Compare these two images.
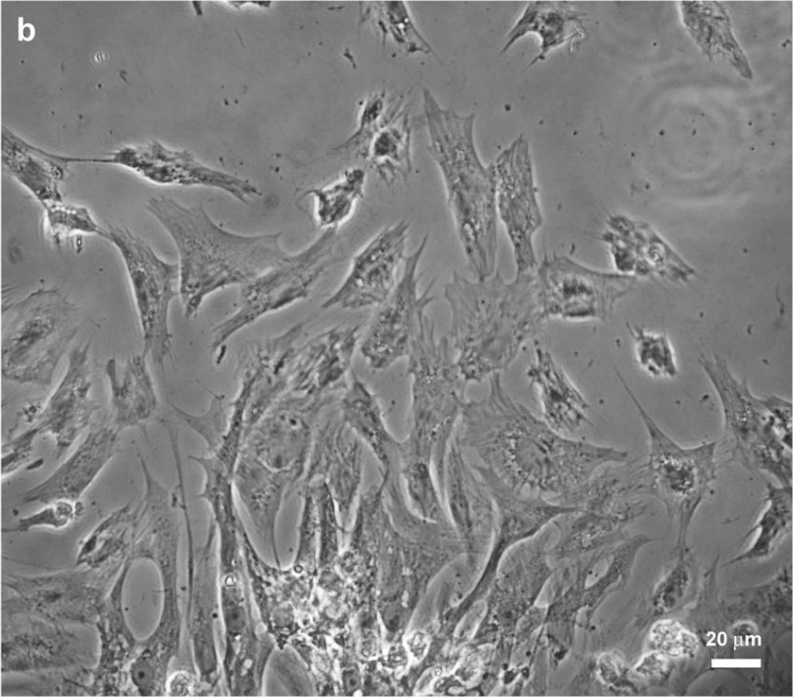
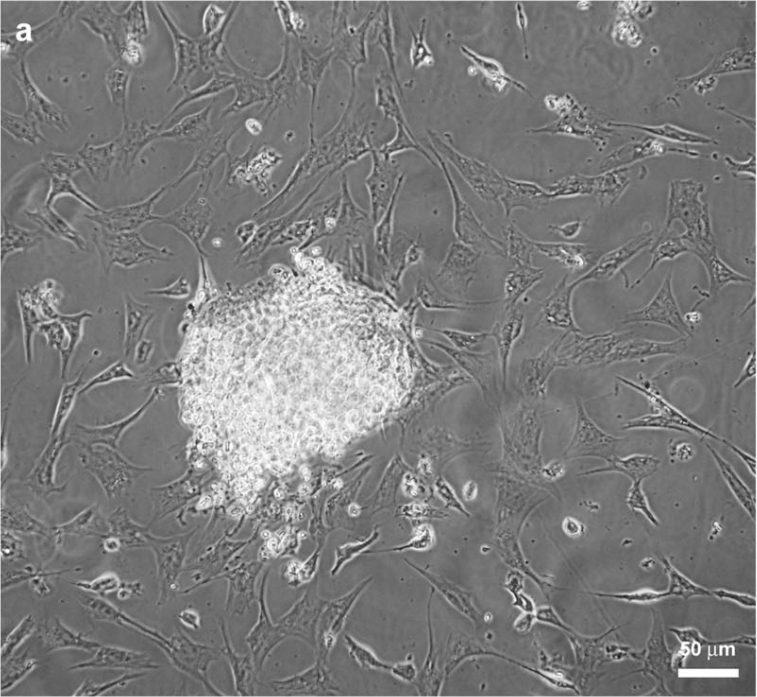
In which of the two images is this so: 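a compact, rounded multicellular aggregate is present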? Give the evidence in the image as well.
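Second image: a large bright rounded cluster of piled-up cells surrounded by flat spread cells. On this evidence: the second image.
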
